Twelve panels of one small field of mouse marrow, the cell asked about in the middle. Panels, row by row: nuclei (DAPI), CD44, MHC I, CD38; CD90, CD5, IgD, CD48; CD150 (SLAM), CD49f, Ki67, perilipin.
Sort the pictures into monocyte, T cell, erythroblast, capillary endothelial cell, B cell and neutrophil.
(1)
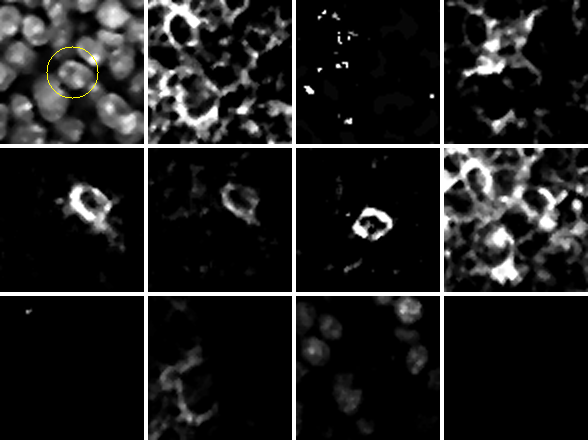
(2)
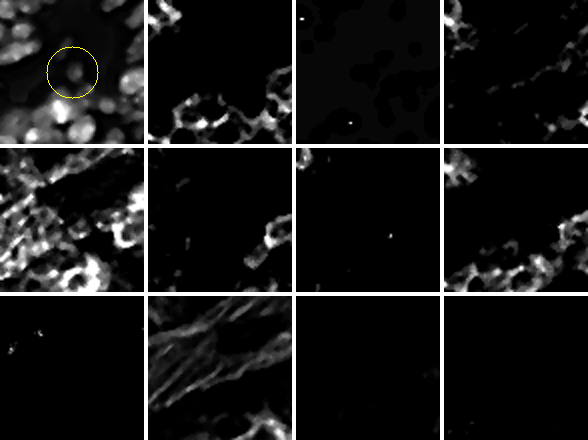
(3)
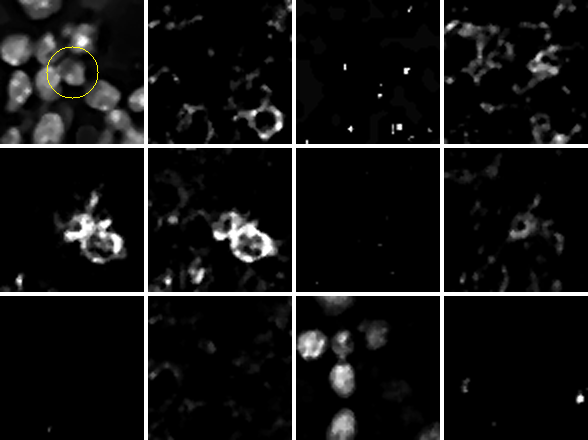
B cells: 1
Capillary endothelial cells: 2
T cells: 3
